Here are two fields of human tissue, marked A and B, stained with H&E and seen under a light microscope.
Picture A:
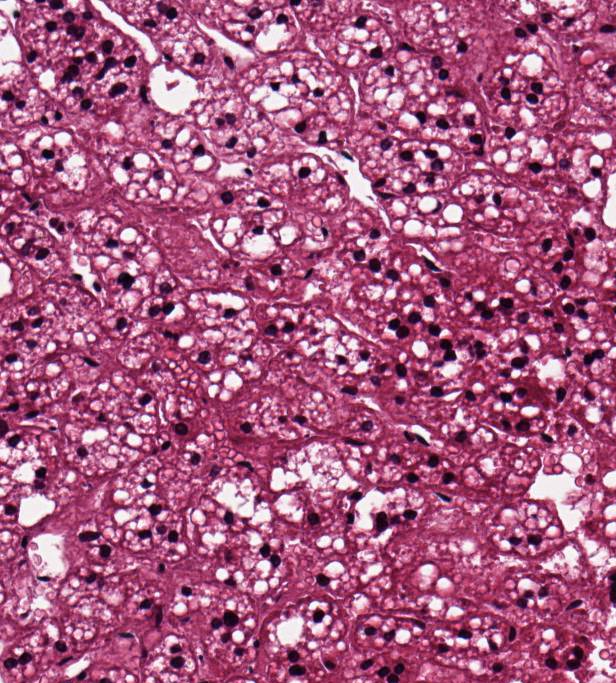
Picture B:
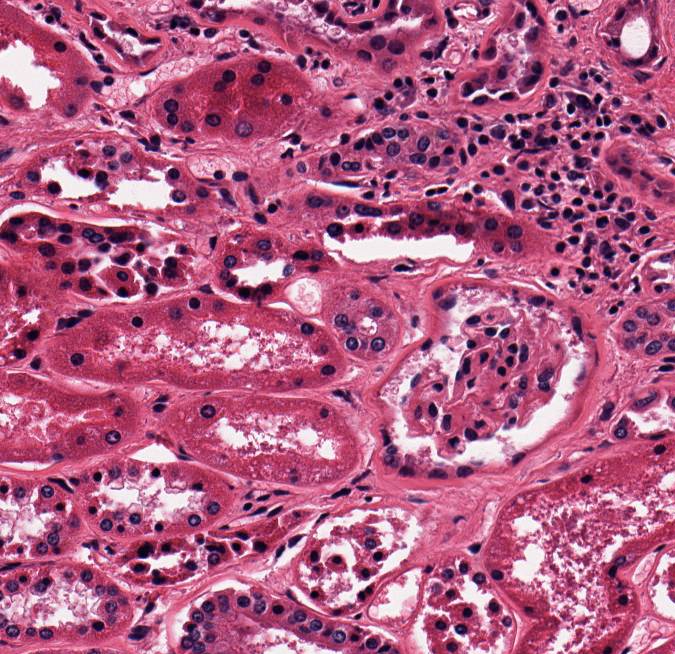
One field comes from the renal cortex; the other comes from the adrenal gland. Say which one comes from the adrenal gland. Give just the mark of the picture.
A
